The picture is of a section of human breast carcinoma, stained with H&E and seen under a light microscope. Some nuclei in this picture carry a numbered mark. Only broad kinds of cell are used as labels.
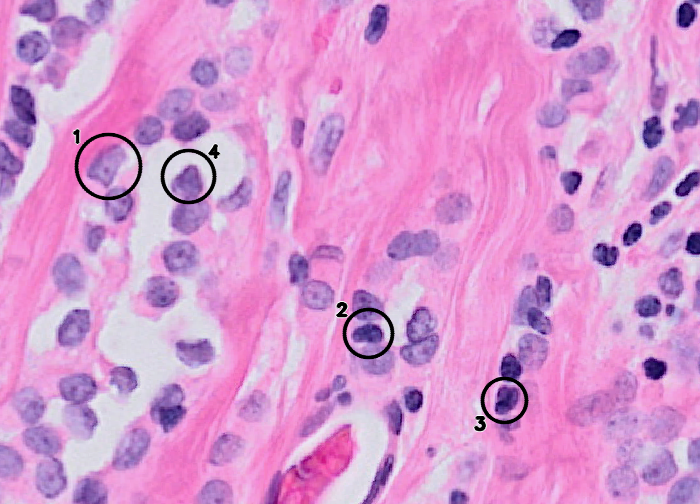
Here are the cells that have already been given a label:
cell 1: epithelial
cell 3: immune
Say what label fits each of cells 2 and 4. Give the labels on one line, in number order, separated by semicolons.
immune; epithelial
